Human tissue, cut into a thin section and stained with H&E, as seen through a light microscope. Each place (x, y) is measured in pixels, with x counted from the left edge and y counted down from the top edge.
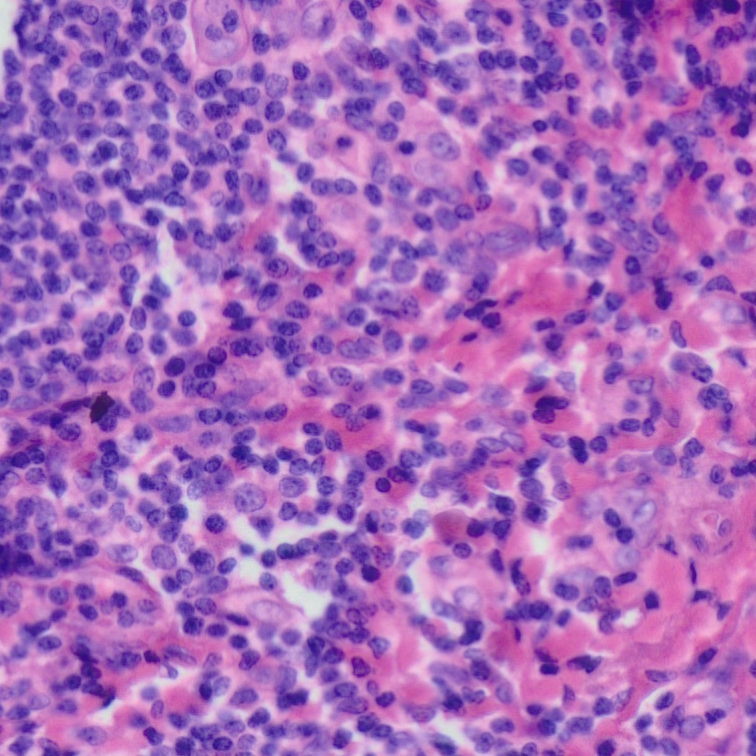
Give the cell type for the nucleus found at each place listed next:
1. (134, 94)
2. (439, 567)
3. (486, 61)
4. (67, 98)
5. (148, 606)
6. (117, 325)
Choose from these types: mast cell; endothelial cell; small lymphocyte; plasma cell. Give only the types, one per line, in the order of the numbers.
small lymphocyte
endothelial cell
plasma cell
small lymphocyte
endothelial cell
small lymphocyte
